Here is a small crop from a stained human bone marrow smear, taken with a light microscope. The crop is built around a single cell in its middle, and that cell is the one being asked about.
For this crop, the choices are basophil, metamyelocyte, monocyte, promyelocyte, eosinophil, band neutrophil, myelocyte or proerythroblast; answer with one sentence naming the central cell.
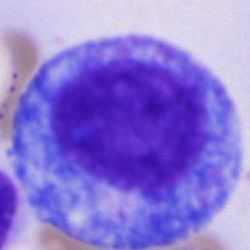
Standing at the centre of this crop is a promyelocyte.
